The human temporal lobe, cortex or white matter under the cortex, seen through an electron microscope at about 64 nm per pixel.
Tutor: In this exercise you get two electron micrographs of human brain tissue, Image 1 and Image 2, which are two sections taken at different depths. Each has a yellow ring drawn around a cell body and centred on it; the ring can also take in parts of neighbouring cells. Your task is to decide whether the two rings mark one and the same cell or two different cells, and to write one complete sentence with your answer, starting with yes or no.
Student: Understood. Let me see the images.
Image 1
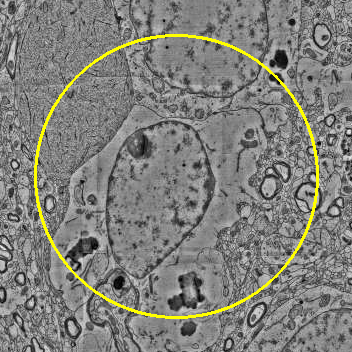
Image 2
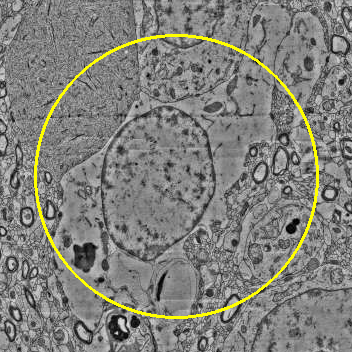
Yes, one cell is ringed in yellow twice over.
